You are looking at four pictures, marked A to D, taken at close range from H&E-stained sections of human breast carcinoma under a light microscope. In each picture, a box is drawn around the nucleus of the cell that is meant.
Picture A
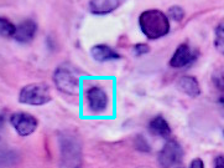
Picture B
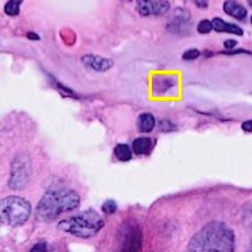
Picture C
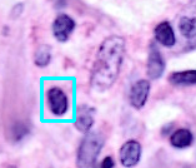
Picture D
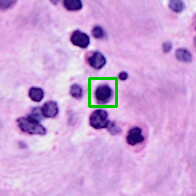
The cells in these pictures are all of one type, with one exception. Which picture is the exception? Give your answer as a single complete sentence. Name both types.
The others show lymphocytes, but picture B shows a mast cell.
